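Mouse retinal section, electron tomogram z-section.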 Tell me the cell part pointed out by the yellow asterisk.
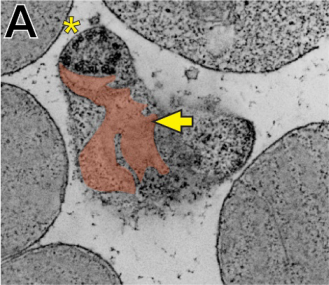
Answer: ciliary axoneme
